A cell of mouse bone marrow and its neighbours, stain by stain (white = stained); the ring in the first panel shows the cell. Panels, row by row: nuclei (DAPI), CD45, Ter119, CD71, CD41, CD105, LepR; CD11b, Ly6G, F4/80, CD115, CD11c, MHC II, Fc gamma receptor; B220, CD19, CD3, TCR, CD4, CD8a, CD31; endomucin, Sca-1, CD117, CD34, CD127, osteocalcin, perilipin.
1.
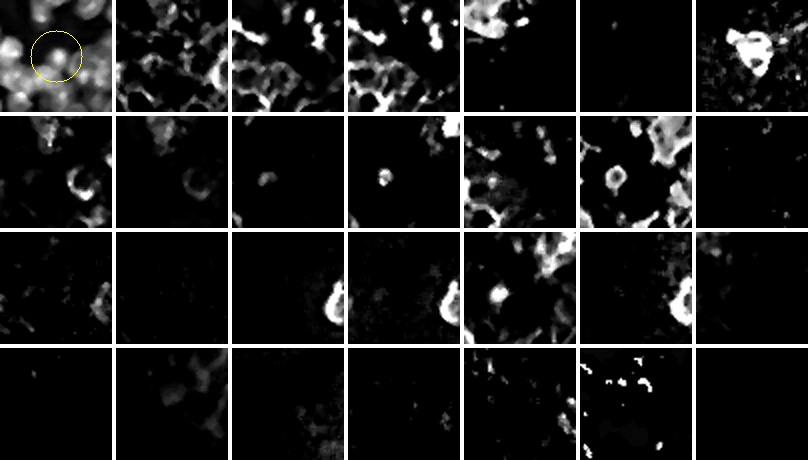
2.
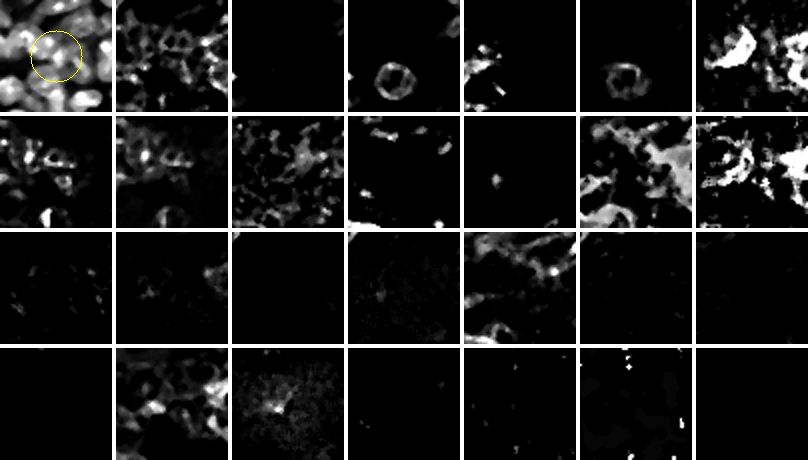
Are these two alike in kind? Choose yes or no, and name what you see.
Yes. LepR-positive perivascular cells.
